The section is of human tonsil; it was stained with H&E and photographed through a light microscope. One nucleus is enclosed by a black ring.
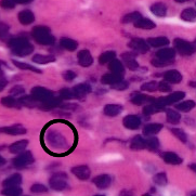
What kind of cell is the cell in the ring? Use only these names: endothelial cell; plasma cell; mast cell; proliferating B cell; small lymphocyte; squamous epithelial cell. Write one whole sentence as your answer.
The cell meant here is an endothelial cell.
